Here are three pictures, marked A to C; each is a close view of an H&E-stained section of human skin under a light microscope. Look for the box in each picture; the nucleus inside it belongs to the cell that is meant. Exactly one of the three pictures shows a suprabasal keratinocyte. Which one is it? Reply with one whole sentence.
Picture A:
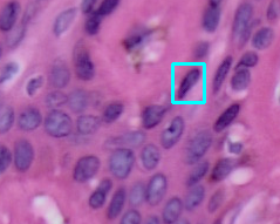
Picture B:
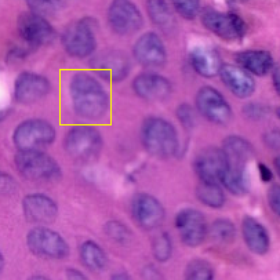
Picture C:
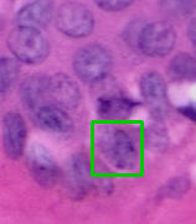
Picture B is the one that shows the suprabasal keratinocyte.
